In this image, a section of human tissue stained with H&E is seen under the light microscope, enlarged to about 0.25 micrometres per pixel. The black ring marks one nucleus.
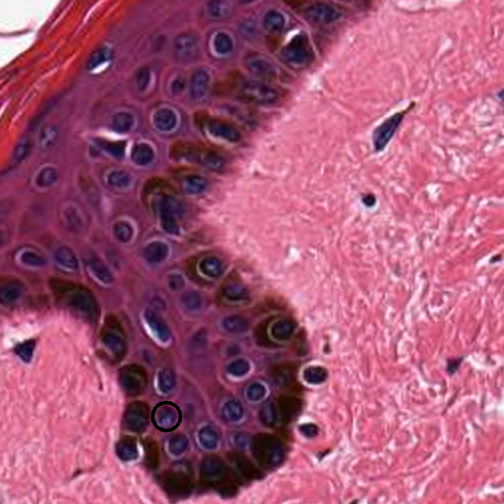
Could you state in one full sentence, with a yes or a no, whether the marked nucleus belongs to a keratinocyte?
Yes, the marked nucleus is the nucleus of a keratinocyte.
